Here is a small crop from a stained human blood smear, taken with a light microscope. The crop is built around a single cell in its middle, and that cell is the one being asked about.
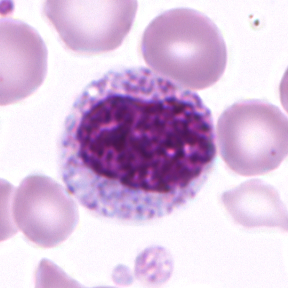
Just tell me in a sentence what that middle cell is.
In the crop, the cell of interest at the centre is a metamyelocyte.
